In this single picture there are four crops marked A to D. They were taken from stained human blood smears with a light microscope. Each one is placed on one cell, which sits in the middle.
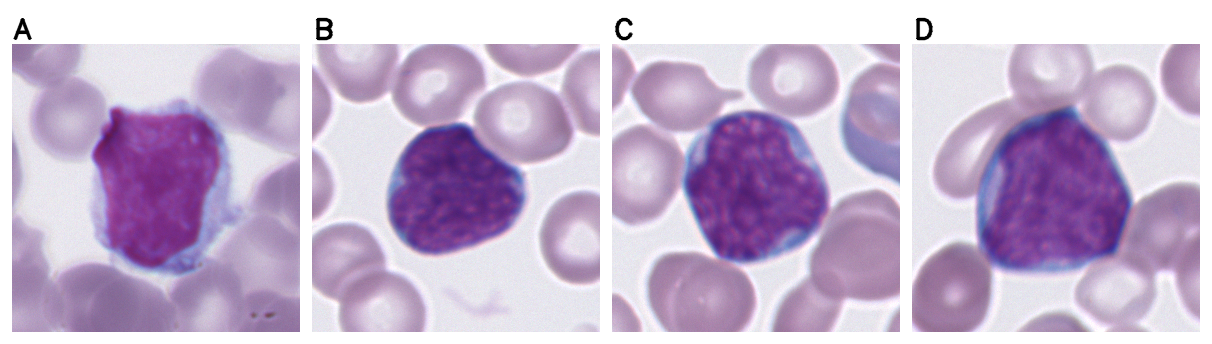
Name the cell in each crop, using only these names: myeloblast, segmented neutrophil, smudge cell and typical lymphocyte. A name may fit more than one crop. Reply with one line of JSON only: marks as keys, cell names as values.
{"A": "typical lymphocyte", "B": "myeloblast", "C": "myeloblast", "D": "myeloblast"}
